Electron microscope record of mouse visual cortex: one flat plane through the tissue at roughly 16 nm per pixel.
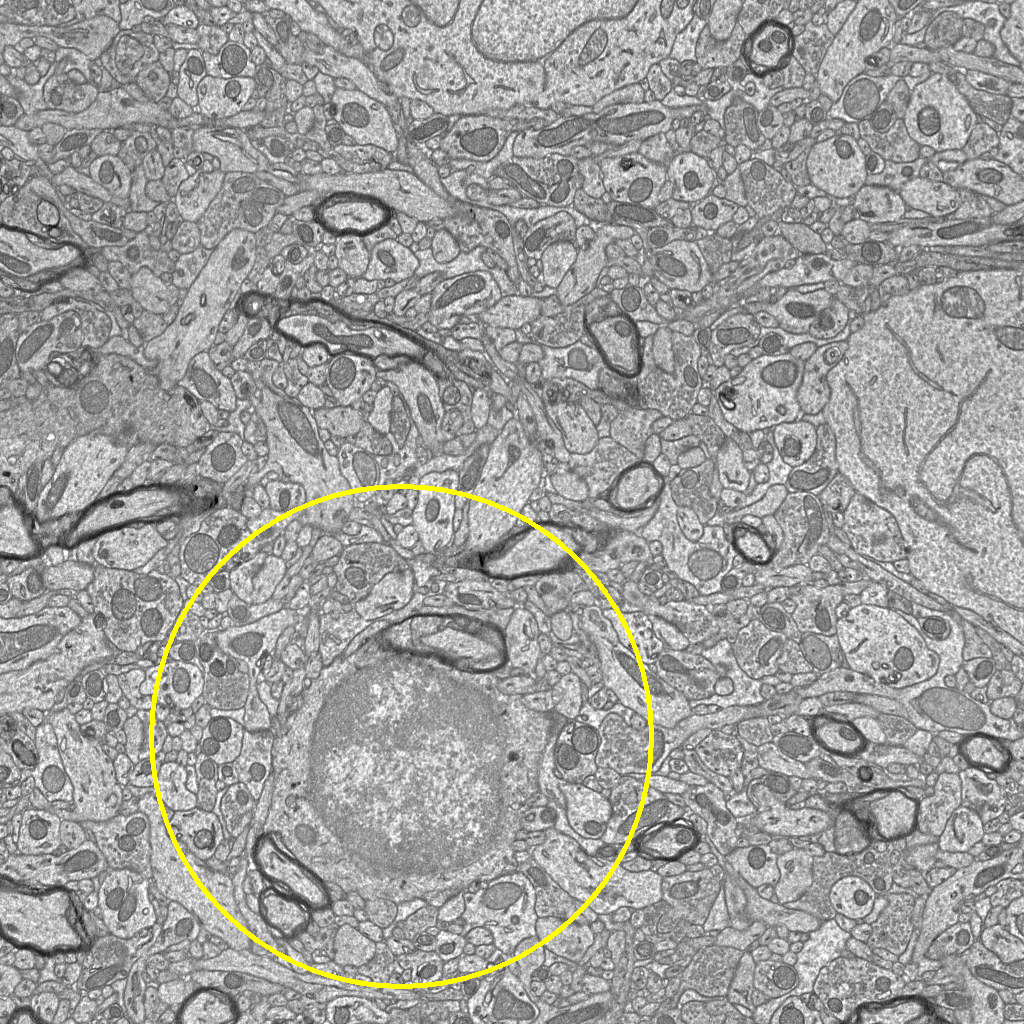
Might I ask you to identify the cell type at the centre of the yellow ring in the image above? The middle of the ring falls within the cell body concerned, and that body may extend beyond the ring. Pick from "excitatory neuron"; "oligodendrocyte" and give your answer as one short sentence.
The centre of the ring falls on an oligodendrocyte.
